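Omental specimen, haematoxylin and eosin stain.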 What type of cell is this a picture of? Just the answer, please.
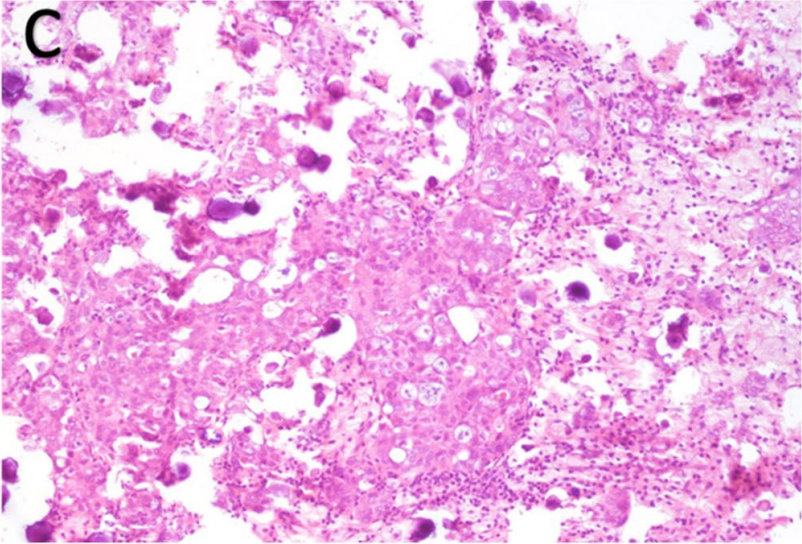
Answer: Viable tumour cells.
